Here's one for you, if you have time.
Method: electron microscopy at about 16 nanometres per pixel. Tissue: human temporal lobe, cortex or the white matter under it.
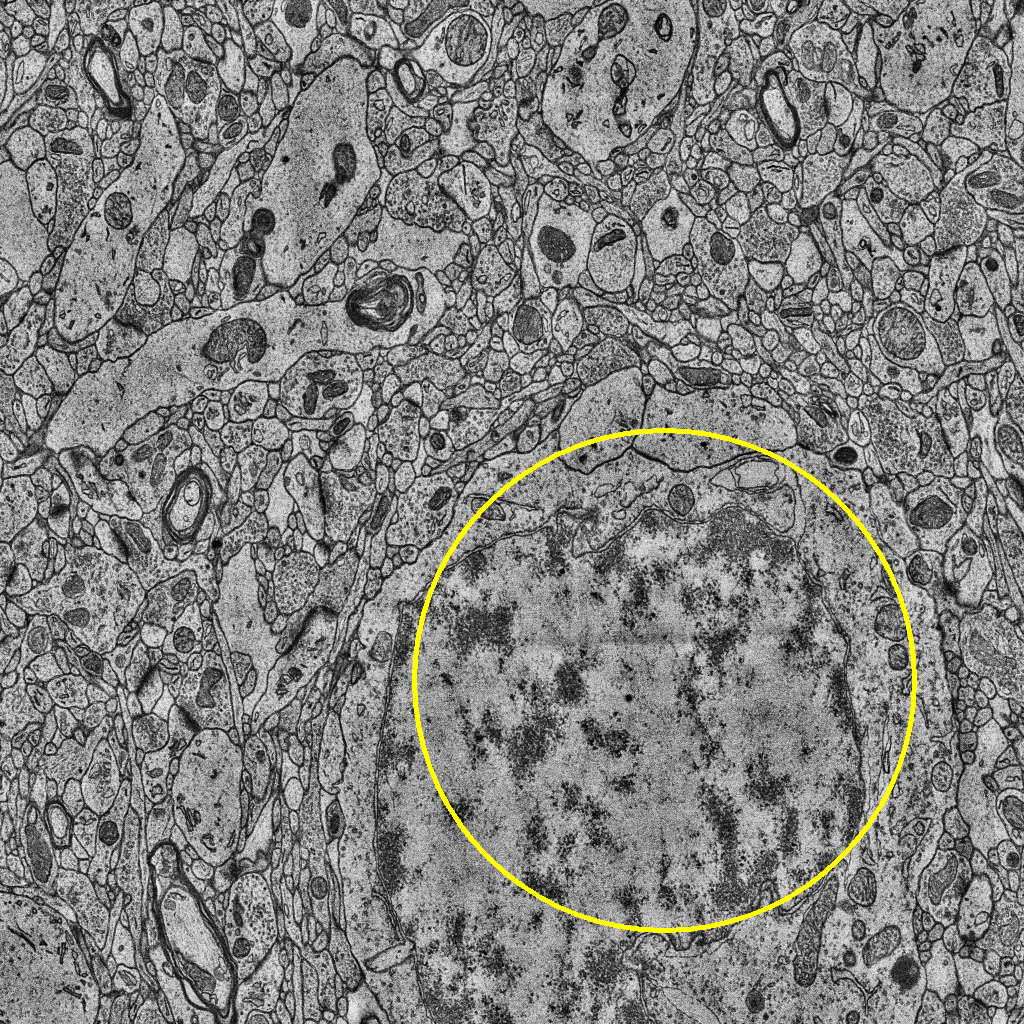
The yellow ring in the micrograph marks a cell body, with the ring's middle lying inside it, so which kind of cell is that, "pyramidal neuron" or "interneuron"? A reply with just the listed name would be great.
interneuron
